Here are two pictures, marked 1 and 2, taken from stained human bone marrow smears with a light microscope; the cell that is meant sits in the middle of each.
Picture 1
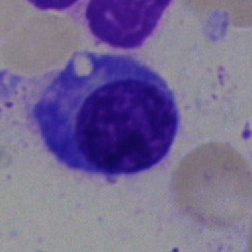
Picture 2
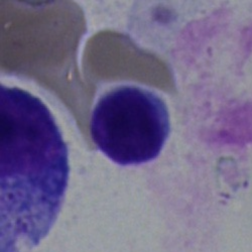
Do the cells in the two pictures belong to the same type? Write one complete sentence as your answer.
No, they differ: the cell is a plasma cell in picture 1 and a lymphocyte in picture 2.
